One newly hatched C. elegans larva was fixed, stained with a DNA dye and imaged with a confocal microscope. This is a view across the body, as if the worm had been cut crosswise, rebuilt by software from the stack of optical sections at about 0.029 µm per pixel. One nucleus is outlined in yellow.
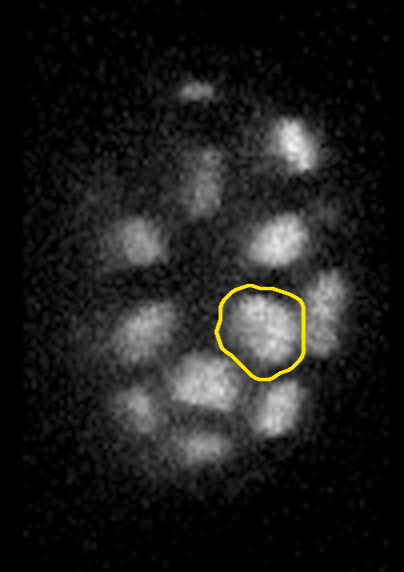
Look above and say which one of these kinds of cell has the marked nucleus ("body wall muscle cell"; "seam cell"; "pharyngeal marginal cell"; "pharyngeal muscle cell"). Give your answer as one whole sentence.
This is the nucleus of a pharyngeal muscle cell.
